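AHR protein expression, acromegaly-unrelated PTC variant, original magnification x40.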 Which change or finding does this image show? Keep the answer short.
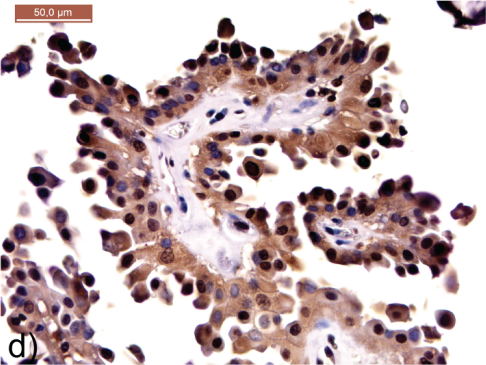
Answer: hobnail features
